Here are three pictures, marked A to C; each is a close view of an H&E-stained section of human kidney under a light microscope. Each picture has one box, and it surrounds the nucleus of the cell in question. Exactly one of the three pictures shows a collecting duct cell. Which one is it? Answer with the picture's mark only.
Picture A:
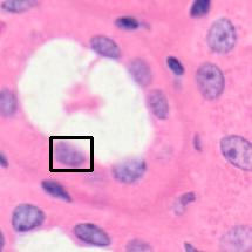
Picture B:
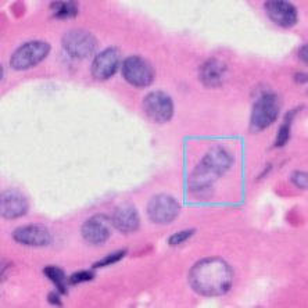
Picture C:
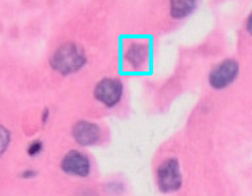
B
